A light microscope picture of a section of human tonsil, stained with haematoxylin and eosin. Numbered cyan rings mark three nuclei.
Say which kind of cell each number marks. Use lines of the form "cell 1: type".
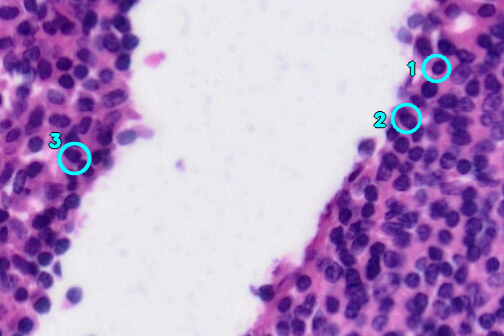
cell 1: small lymphocyte
cell 2: small lymphocyte
cell 3: plasma cell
